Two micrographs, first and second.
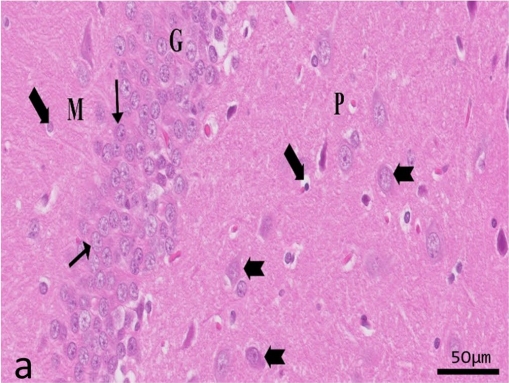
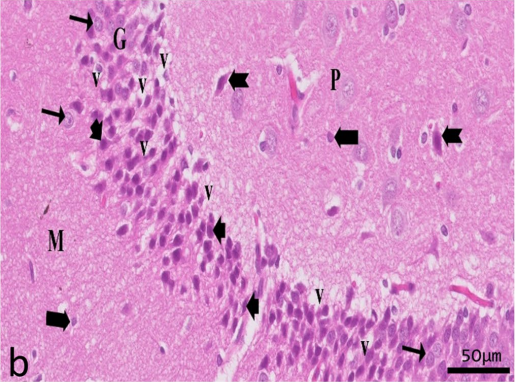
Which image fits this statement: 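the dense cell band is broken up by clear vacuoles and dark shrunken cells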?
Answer: The second image.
